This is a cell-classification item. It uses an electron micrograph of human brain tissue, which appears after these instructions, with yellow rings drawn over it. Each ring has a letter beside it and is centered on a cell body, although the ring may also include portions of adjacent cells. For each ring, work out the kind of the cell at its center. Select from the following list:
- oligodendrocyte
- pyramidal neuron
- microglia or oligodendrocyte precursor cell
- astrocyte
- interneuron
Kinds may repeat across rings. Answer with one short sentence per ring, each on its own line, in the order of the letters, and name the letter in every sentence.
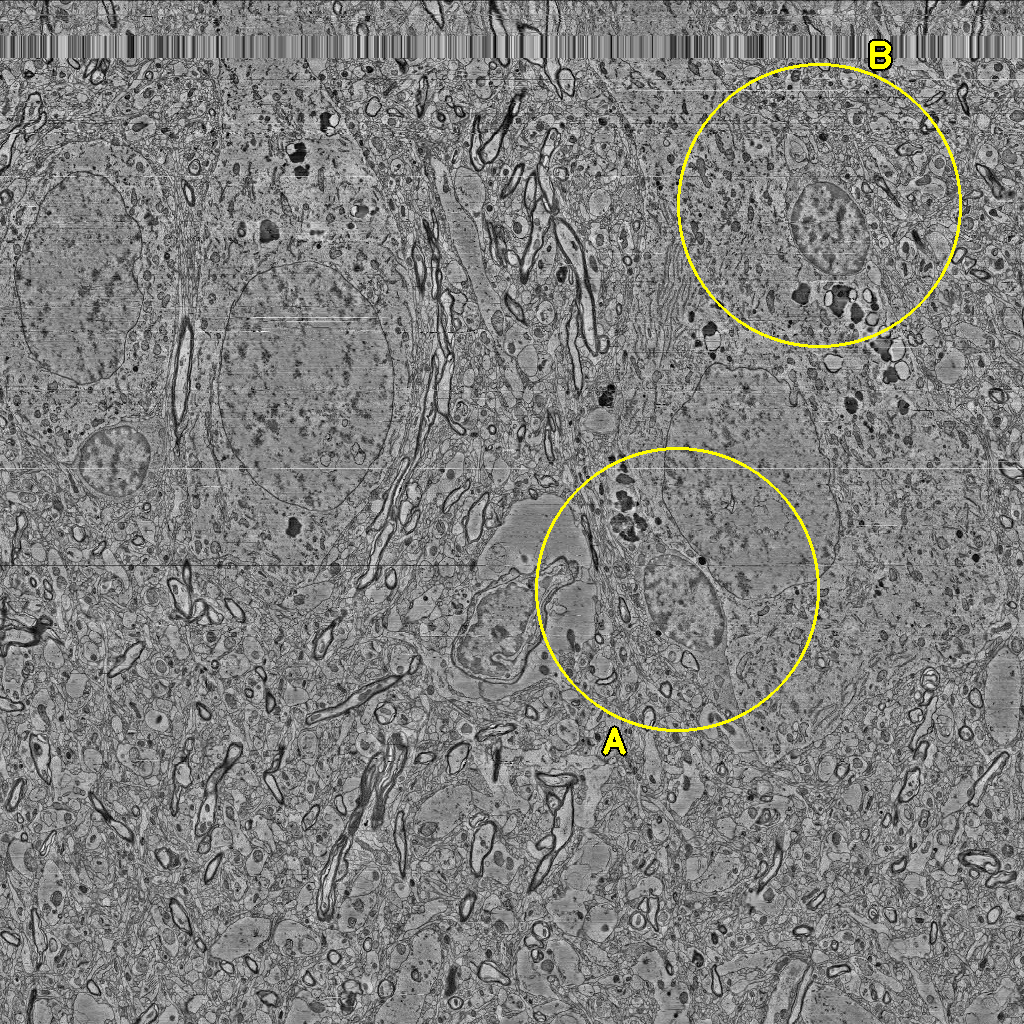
Ring A has an oligodendrocyte at its center.
Ring B has an oligodendrocyte at its center.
